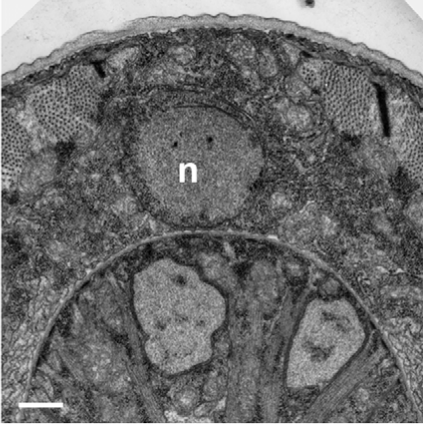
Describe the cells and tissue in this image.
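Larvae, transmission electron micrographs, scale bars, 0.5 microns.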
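Just beneath the curved outer cuticle lies a cell with a large round nucleus of even, mid-grey texture carrying a few small dark dots. Beside it, at upper left and right, are regions of regularly packed filaments cut in cross-section, typical of body-wall muscle. Below, a curved membrane encloses further cells with grey, irregular nuclei.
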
